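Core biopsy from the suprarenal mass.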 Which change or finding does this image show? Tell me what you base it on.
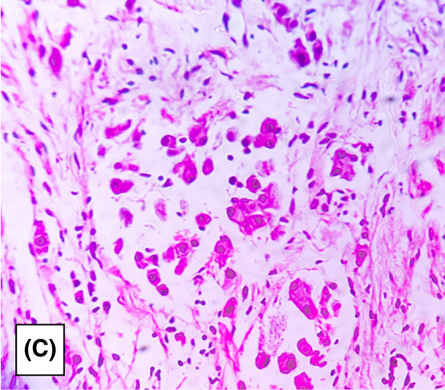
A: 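The cells lie singly and in small groups in a loose pale stroma. So: eccentric nuclei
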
